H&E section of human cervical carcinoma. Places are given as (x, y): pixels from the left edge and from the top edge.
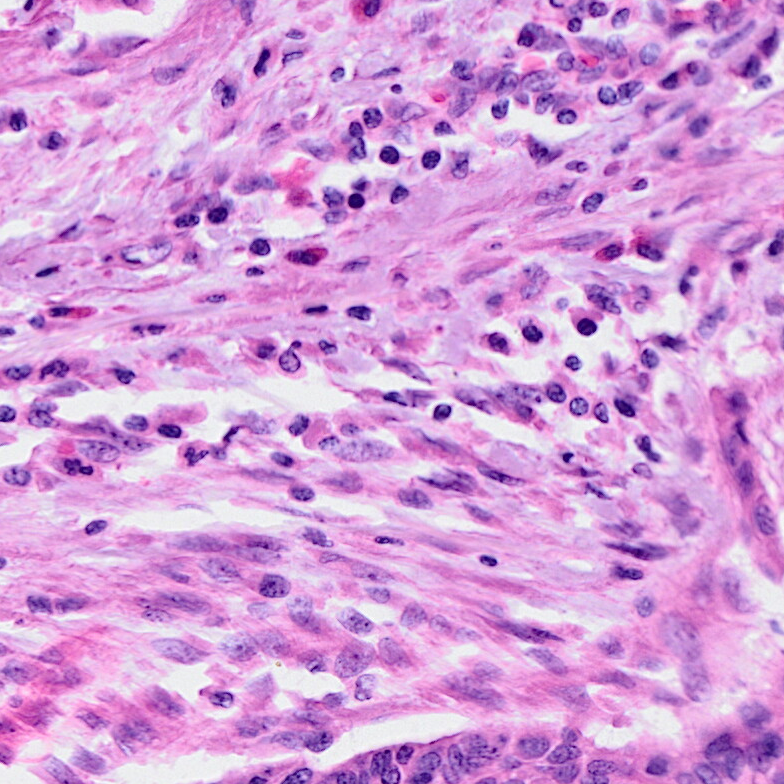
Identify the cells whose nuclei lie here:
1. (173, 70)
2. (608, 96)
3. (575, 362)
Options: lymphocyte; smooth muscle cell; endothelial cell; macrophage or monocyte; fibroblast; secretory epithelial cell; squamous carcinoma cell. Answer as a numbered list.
1. fibroblast
2. lymphocyte
3. lymphocyte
